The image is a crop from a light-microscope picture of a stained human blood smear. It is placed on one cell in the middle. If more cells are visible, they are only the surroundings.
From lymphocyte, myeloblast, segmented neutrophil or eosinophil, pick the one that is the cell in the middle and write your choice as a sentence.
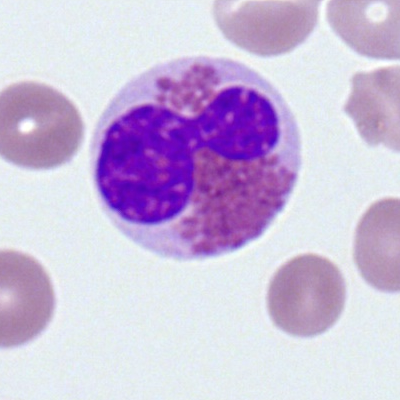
What the crop centres on is an eosinophil.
